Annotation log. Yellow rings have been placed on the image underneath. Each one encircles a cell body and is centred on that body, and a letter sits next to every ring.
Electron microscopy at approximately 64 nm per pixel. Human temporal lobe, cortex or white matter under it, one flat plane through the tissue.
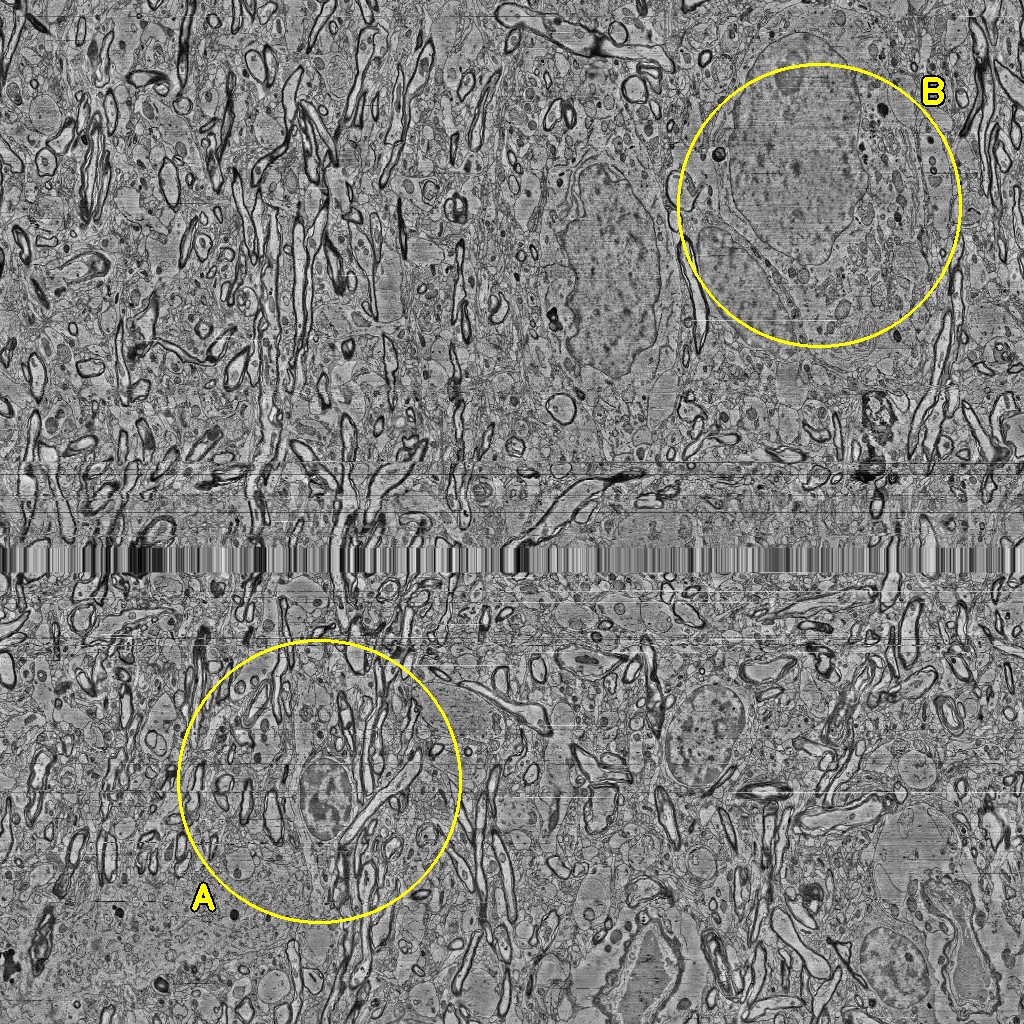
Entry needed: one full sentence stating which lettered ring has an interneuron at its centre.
The cell asked for sits at the centre of Ring B in the picture.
